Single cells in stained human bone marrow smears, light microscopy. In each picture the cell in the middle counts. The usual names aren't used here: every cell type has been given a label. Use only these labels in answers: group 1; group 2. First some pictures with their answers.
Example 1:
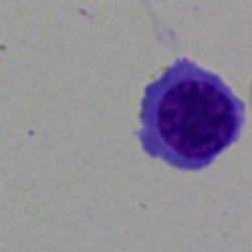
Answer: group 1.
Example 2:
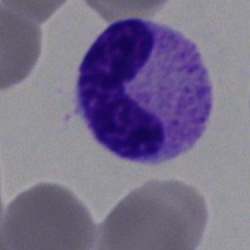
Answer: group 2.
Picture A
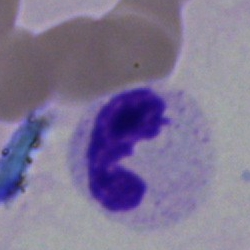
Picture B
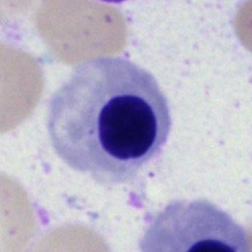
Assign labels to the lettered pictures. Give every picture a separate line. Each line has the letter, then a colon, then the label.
A: group 2.
B: group 1.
